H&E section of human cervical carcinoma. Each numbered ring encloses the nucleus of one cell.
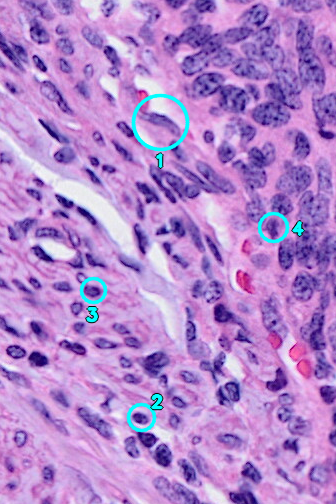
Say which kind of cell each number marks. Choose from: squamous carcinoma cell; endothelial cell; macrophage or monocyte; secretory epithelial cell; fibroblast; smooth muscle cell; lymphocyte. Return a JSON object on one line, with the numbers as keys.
{"1": "endothelial cell", "2": "lymphocyte", "3": "smooth muscle cell", "4": "squamous carcinoma cell"}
